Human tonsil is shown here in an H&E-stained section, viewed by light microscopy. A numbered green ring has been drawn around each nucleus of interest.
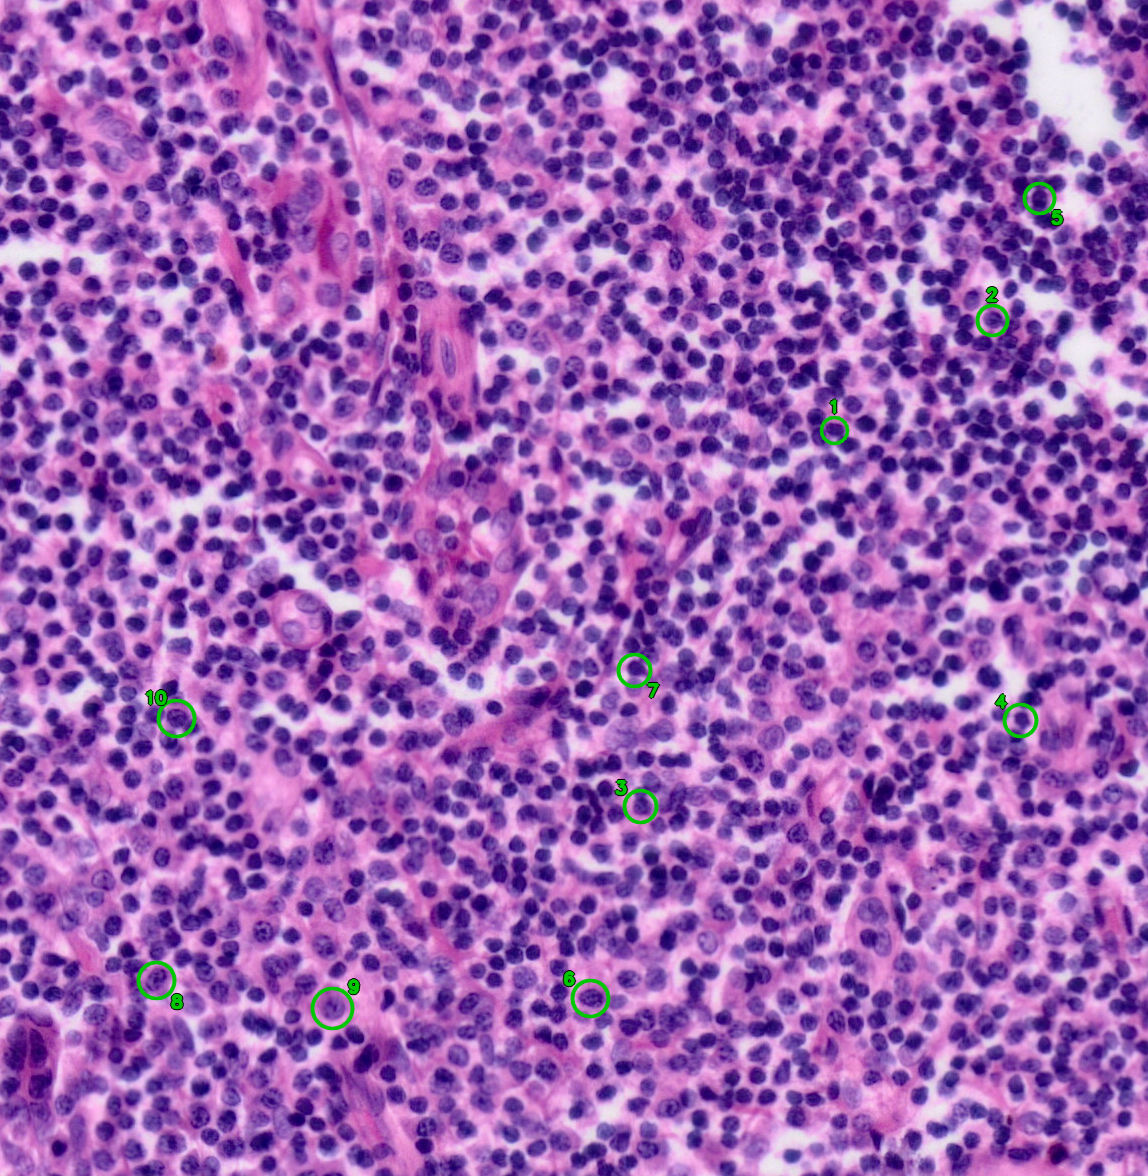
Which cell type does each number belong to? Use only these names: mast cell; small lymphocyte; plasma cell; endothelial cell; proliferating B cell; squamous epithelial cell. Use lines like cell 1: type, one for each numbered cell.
cell 1: small lymphocyte
cell 2: small lymphocyte
cell 3: small lymphocyte
cell 4: small lymphocyte
cell 5: small lymphocyte
cell 6: plasma cell
cell 7: small lymphocyte
cell 8: plasma cell
cell 9: plasma cell
cell 10: plasma cell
